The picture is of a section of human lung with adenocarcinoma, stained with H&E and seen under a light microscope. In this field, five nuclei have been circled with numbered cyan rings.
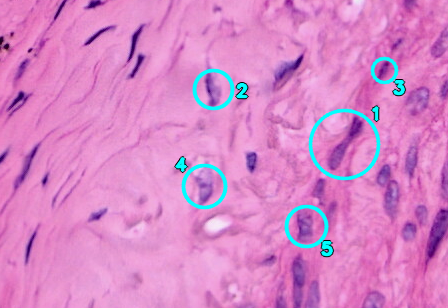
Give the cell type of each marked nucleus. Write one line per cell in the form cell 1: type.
cell 1: smooth muscle cell or pericyte
cell 2: fibroblast
cell 3: smooth muscle cell or pericyte
cell 4: fibroblast
cell 5: smooth muscle cell or pericyte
